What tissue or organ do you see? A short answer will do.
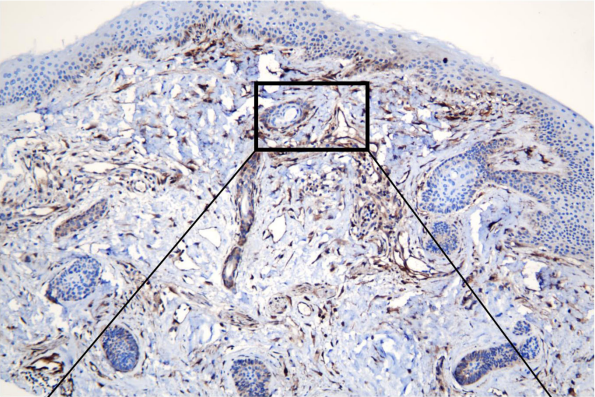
Skin.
